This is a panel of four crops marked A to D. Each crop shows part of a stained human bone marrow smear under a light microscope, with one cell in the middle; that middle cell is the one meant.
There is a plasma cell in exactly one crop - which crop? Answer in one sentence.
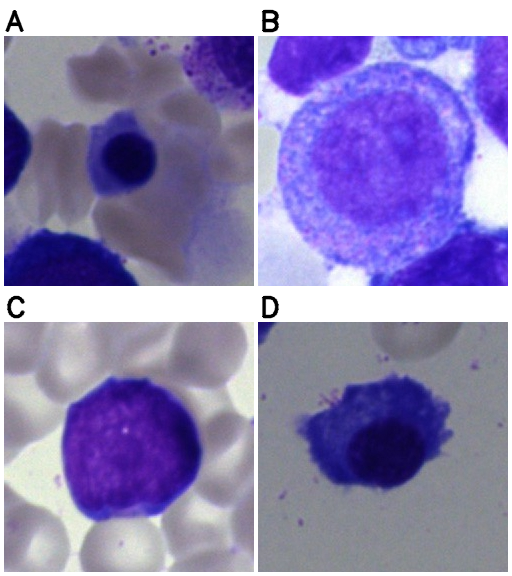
Only in crop D is a plasma cell shown.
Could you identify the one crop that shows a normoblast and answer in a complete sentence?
The one crop in the set with a normoblast is crop A.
